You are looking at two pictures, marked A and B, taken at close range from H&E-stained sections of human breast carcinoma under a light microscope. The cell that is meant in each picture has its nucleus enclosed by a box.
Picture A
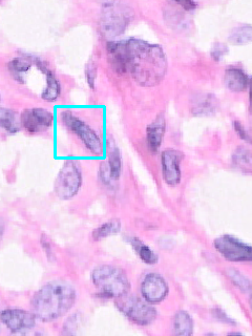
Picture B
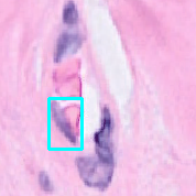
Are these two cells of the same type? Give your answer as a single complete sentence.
Yes, the two pictures both show endothelial cells.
